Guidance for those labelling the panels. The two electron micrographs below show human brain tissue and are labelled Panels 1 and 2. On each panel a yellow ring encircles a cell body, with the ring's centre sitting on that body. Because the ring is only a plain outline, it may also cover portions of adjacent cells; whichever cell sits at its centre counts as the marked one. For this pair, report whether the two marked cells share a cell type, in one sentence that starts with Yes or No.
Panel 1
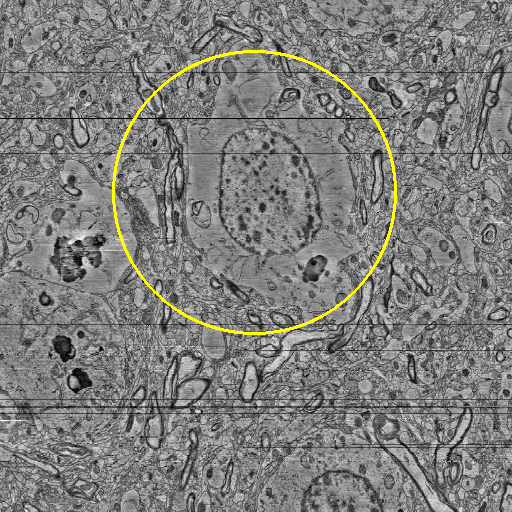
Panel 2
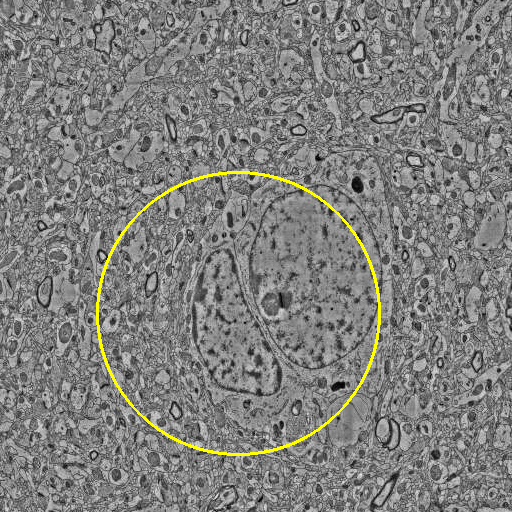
No, in Panel 1 and Panel 2 the marked cells at the ring centres are of two types.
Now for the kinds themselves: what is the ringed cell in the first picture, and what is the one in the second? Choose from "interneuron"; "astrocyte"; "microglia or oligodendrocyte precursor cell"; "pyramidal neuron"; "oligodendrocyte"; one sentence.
Here the first cell is an astrocyte and the second cell is a microglial cell or oligodendrocyte precursor cell.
